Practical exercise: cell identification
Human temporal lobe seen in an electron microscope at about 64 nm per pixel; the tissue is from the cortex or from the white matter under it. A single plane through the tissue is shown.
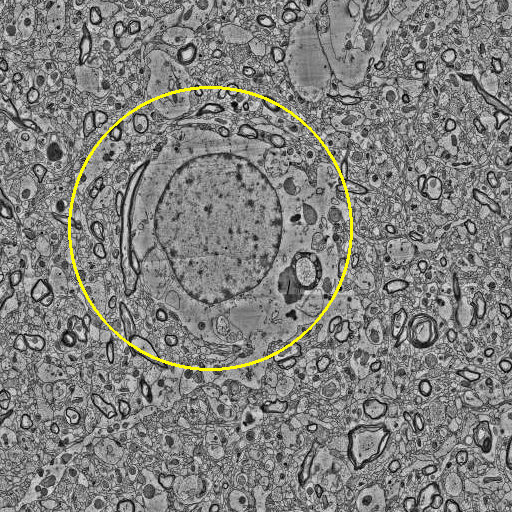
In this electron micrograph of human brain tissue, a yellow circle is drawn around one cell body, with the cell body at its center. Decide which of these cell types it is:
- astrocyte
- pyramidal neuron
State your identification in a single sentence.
The ringed cell is an astrocyte.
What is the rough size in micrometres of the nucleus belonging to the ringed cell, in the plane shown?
Roughly 10 by 8 micrometres in this plane, for the nucleus of the ringed cell.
